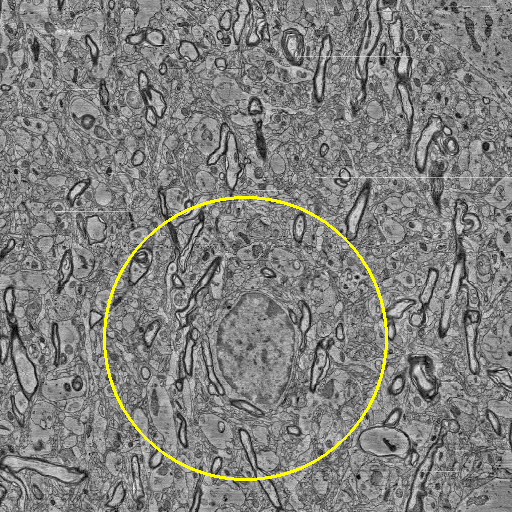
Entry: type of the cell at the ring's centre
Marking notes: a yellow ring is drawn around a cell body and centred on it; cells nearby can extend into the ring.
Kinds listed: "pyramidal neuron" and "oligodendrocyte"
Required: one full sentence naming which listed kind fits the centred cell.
My entry names an oligodendrocyte as the cell whose body the yellow ring centres on.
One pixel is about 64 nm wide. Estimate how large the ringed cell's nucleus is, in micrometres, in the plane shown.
Roughly 7 micrometres by 6 micrometres, in this plane.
